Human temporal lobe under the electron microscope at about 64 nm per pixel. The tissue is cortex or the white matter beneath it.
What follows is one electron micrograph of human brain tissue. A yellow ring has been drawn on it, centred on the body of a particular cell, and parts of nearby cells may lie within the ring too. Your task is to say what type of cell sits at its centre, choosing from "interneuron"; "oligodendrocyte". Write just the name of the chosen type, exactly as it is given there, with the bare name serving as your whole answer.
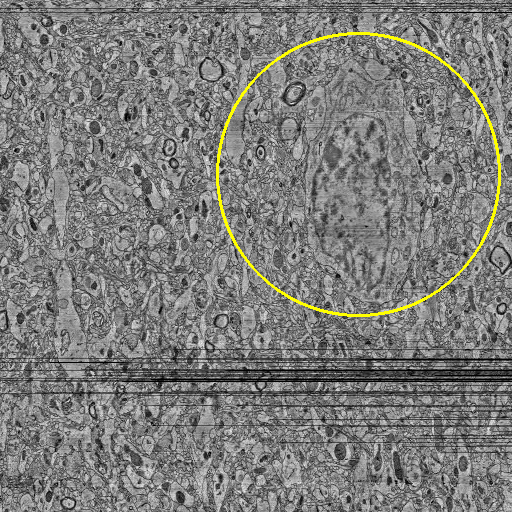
interneuron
